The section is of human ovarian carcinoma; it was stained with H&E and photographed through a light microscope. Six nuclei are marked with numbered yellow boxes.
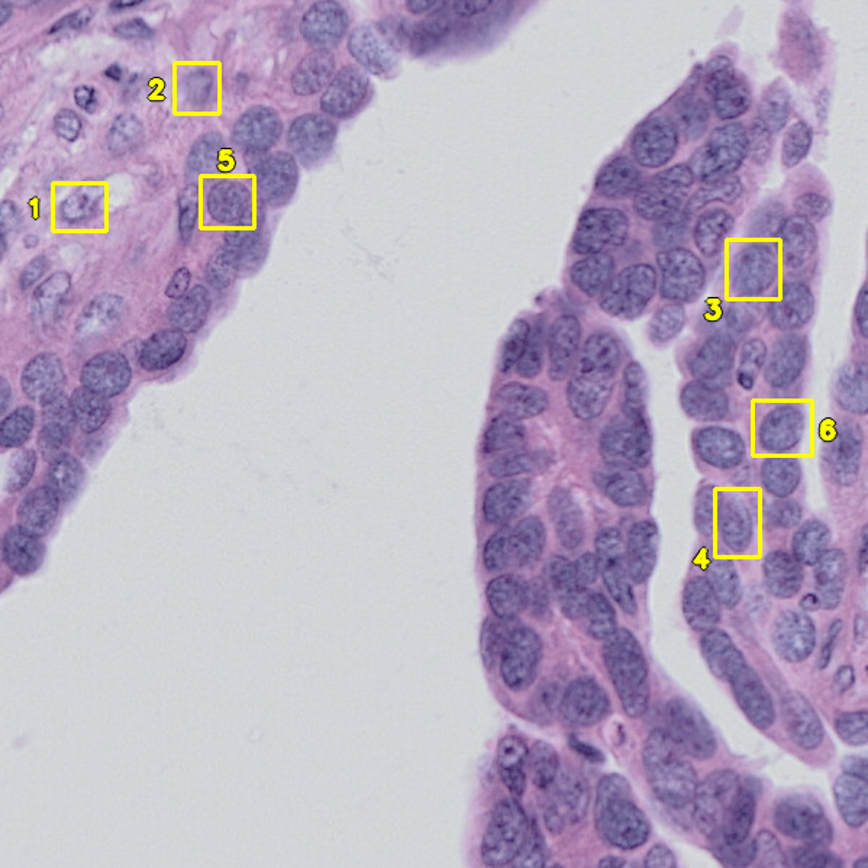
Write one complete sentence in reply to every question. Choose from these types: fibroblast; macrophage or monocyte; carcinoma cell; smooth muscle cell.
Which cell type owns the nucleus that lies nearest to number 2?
It is a macrophage or monocyte whose nucleus is nearest to number 2.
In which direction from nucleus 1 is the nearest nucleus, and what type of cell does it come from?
The nearest one is a fibroblast, found above and to the left of nucleus 1.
